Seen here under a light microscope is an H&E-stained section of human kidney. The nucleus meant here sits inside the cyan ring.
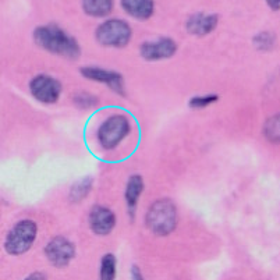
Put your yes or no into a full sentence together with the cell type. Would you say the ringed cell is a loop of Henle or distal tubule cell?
Yes, and to confirm, the ringed cell is a loop of Henle or distal tubule cell.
